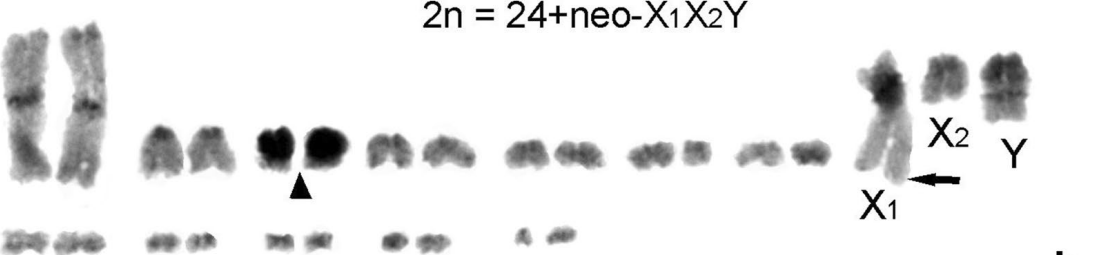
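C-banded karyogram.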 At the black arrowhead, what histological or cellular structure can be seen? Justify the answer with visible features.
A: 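The pair above the arrowhead is almost entirely dark-stained. The two chromosomes are of medium size compared with the rest. That points to this answer: megameric pair.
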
